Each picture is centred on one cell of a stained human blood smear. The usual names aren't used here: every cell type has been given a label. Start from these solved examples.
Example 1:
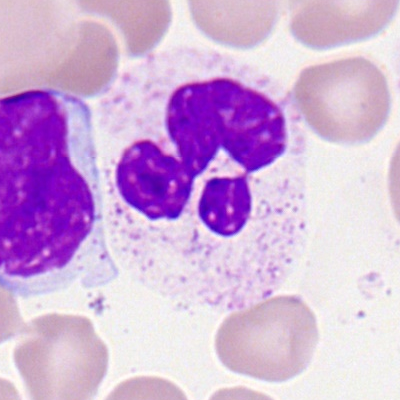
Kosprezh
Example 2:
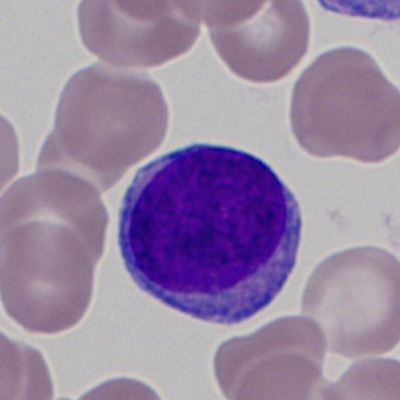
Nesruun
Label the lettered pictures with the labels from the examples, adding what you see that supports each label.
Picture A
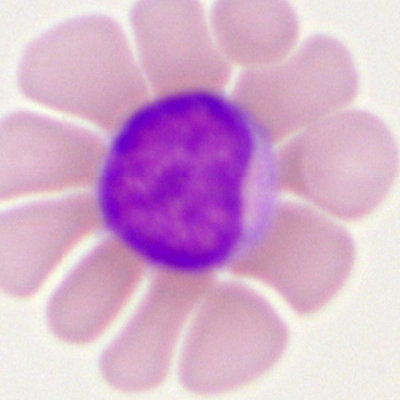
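Label: Nesruun. The nucleus fills most of the cell.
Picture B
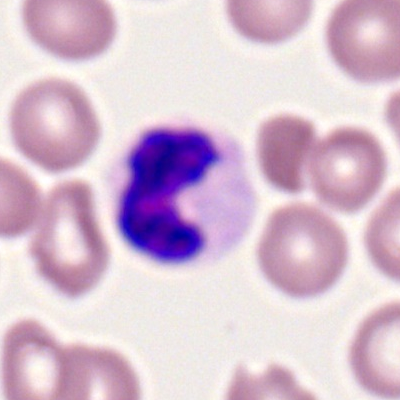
Label: Kosprezh. The nucleus is a curved C shape whose open side faces right.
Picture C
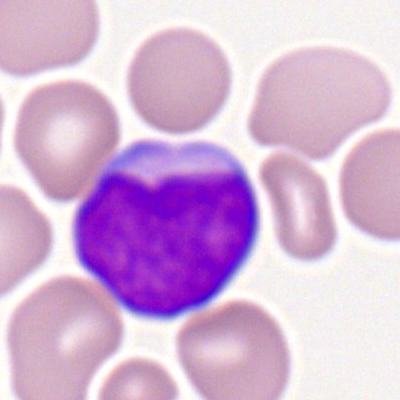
Label: Nesruun. The nucleus fills most of the cell.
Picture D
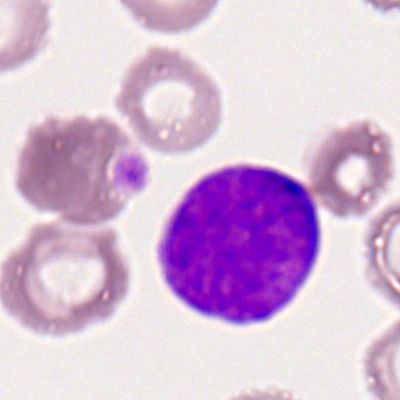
Label: Nesruun. Cytoplasm is scant, at most a very thin rim around the nucleus.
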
